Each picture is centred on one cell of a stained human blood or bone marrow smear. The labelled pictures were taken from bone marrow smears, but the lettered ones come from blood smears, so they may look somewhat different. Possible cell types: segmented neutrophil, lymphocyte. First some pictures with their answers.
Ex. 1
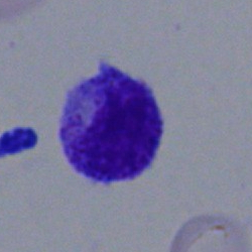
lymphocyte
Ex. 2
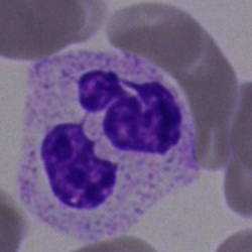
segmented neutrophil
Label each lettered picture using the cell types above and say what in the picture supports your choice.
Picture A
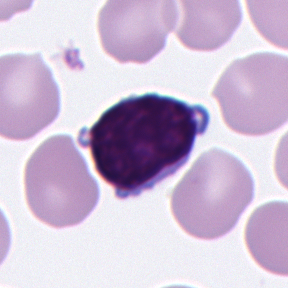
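lymphocyte. Evidence: The nucleus fills almost the whole cell.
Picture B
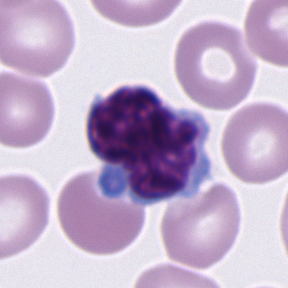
lymphocyte. Evidence: The cytoplasm forms only a narrow pale blue rim around the nucleus.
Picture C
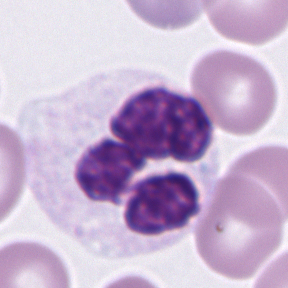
segmented neutrophil. Evidence: The nucleus is split into three separate lobes.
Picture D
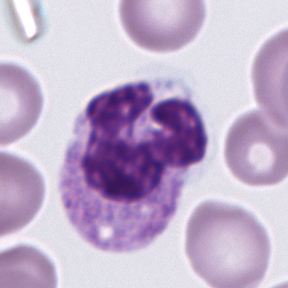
segmented neutrophil. Evidence: A deep cleft entering from the top splits the nucleus into lobes.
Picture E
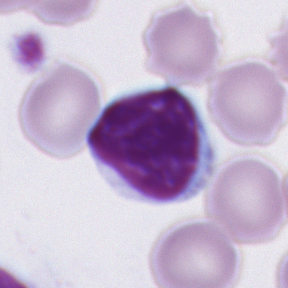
lymphocyte. Evidence: The nucleus fills most of the cell.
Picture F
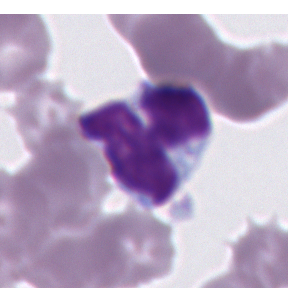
lymphocyte. Evidence: The nucleus fills most of the cell.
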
